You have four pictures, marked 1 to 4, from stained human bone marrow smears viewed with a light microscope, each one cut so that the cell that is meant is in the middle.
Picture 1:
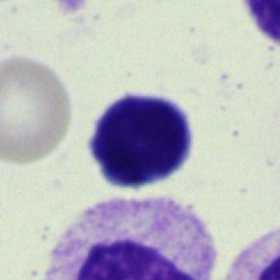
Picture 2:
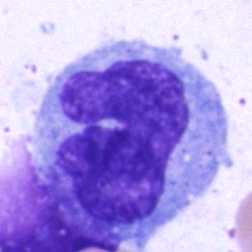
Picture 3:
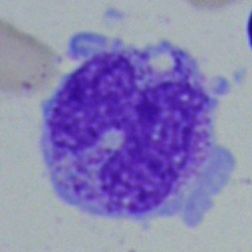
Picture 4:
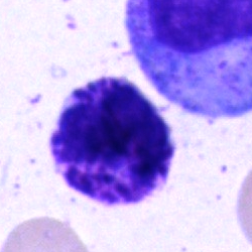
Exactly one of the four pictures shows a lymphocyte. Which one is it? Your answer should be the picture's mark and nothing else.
1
